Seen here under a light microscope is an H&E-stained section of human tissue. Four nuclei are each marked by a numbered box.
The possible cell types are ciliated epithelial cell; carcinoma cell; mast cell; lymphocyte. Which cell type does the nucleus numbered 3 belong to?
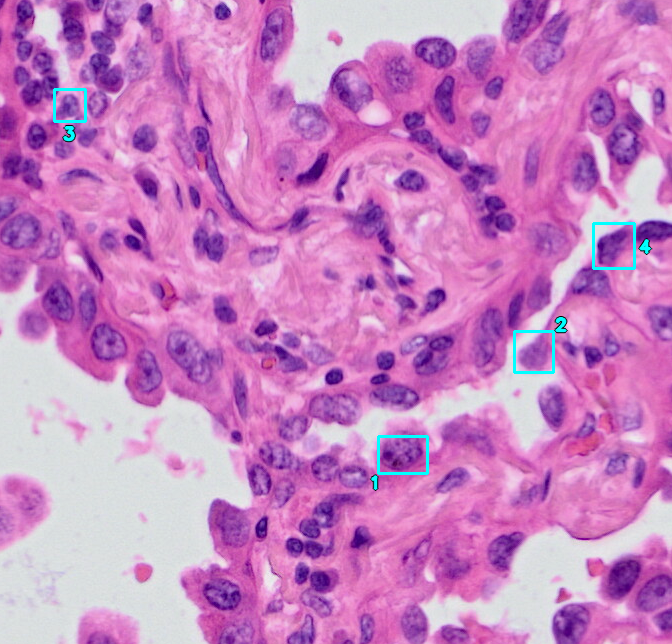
lymphocyte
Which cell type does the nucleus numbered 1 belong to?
carcinoma cell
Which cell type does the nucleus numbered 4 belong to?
carcinoma cell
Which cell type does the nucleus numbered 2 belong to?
carcinoma cell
